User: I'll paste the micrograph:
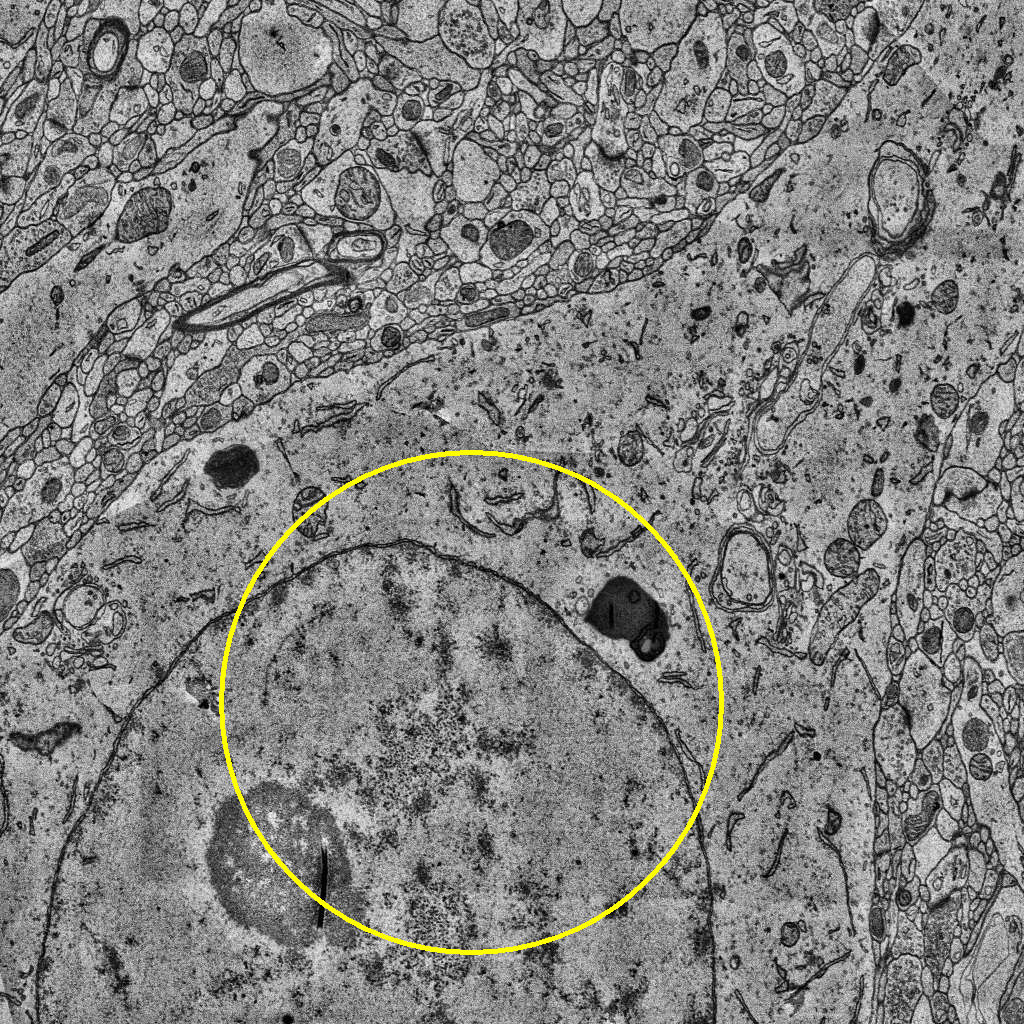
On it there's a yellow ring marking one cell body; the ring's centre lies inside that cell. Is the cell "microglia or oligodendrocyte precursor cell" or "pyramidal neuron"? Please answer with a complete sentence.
The cell at the centre of the yellow ring is a pyramidal neuron.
